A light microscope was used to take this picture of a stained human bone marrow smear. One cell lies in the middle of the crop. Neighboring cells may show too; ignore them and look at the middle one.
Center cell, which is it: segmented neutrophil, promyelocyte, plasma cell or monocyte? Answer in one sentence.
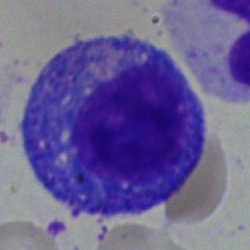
Among the cells in view, the one in the middle is a promyelocyte.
